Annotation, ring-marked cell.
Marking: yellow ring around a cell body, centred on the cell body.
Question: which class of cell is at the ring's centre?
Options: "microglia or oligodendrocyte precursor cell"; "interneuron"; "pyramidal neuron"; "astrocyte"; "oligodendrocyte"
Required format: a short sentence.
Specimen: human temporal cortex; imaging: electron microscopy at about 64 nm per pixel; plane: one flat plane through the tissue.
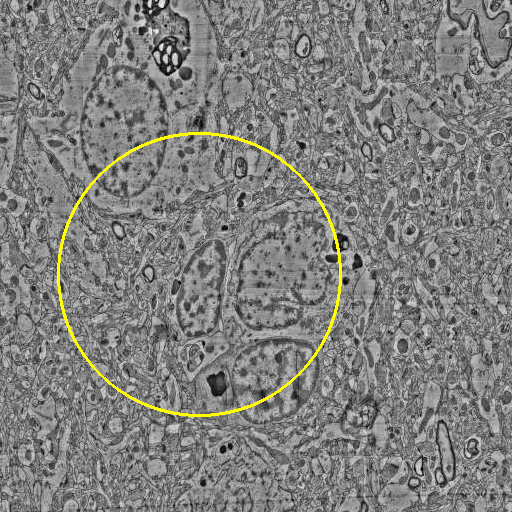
At the ring's centre is a microglial cell or oligodendrocyte precursor cell.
